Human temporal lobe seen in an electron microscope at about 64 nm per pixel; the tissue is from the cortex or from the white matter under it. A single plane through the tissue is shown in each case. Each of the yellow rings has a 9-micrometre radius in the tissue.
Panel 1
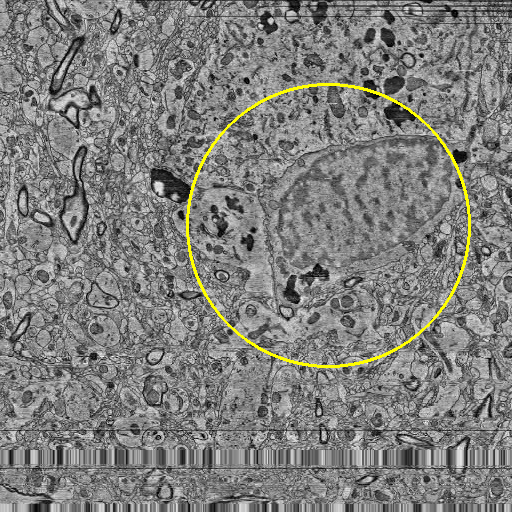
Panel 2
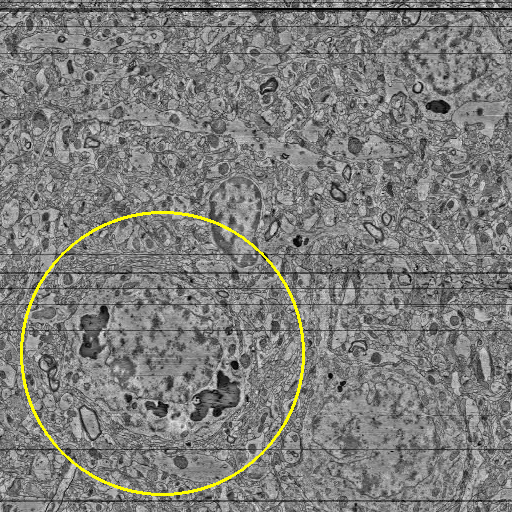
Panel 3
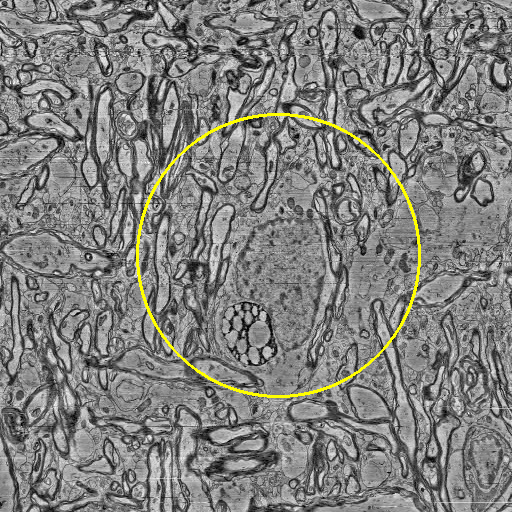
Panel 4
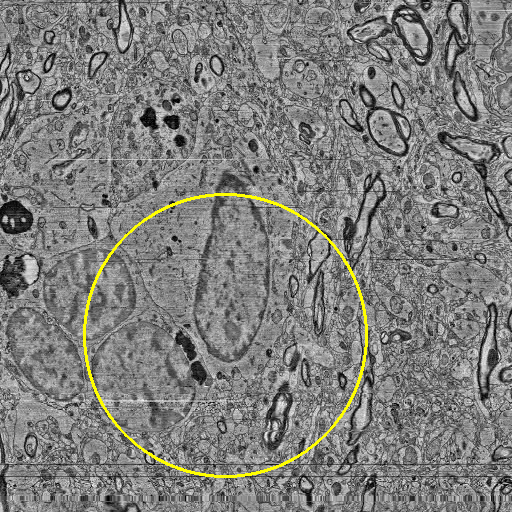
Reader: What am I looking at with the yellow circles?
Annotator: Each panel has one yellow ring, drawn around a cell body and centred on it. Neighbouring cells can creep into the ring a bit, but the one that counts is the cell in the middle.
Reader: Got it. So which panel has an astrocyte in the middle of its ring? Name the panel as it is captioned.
Panel 3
